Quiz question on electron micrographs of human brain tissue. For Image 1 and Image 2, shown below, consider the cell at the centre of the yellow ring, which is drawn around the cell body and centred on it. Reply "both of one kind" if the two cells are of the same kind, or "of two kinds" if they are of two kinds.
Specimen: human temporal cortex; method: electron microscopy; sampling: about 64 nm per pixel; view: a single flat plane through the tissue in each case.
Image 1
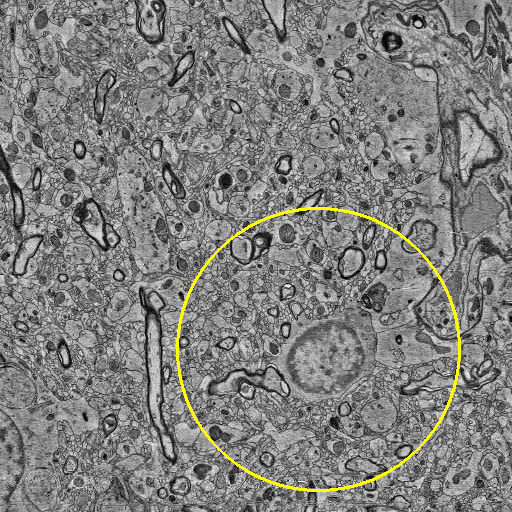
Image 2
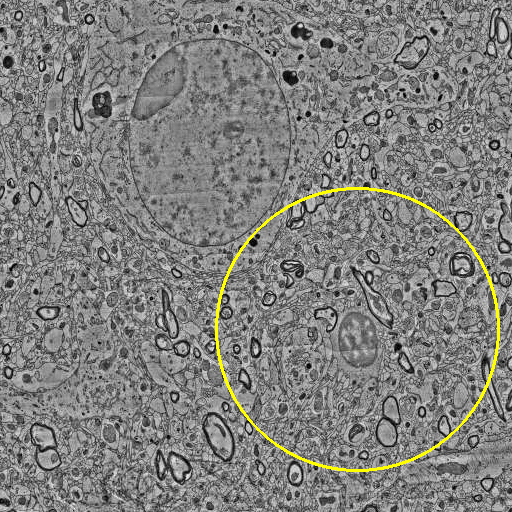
both of one kind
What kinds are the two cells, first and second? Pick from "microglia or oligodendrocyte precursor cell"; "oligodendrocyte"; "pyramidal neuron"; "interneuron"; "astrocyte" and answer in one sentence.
Each one of the two ringed cells is an oligodendrocyte.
